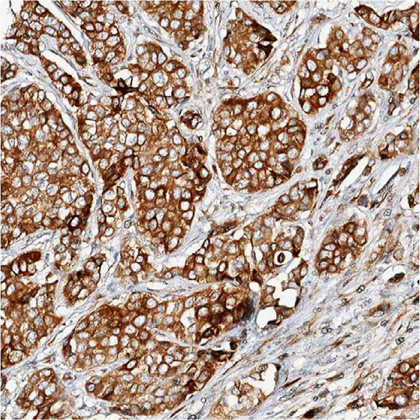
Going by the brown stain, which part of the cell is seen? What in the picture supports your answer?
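Nests of tumor cells have brown cell bodies. Nuclei appear as pale round holes within the brown. So: cytoplasmic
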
